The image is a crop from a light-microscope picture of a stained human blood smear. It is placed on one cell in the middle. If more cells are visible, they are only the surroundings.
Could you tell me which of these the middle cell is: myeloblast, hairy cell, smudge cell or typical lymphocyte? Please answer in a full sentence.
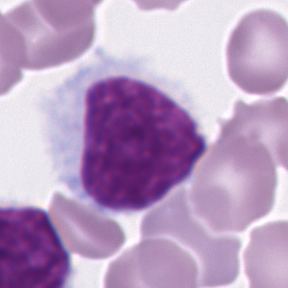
In the centre of this crop there is a hairy cell.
